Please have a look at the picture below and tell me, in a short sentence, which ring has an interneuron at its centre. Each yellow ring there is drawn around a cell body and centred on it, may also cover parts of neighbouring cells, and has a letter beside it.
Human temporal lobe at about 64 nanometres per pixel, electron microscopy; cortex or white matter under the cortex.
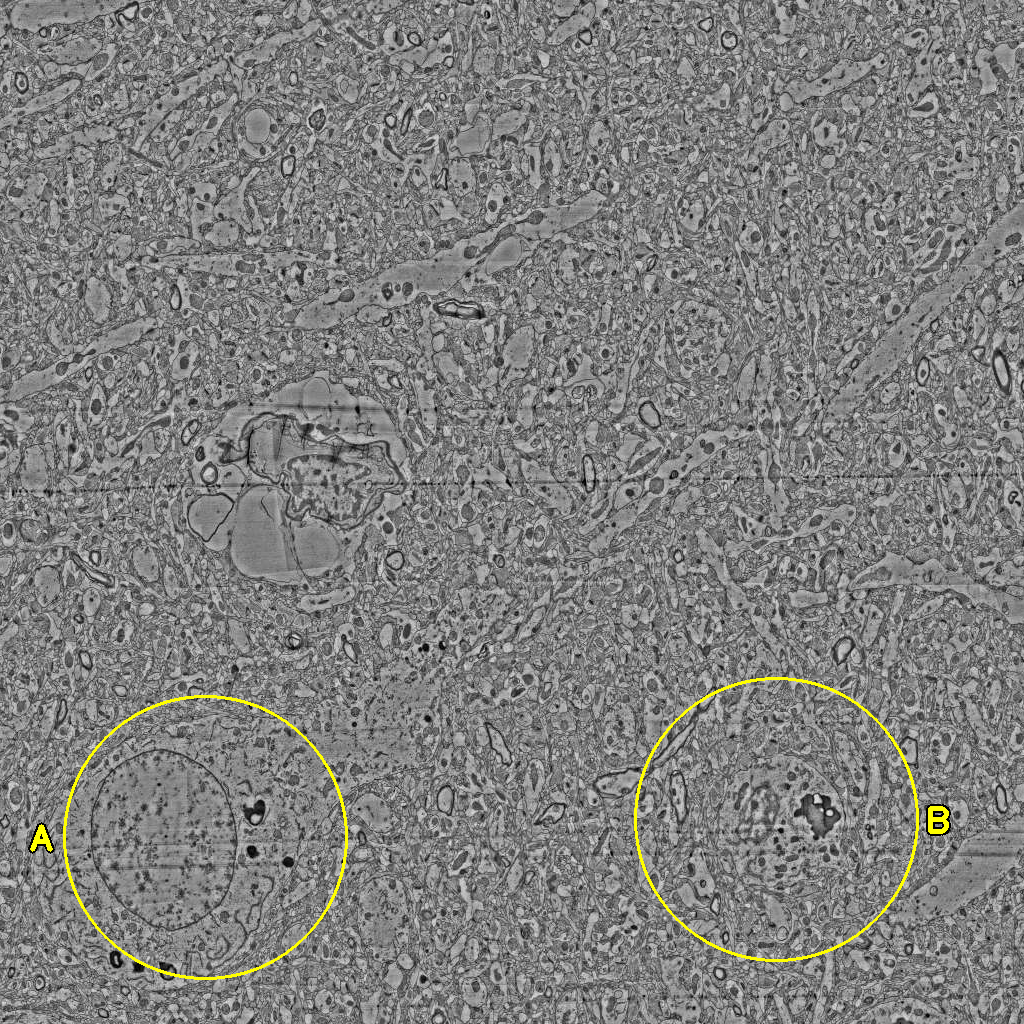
Ring B is centred on it.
